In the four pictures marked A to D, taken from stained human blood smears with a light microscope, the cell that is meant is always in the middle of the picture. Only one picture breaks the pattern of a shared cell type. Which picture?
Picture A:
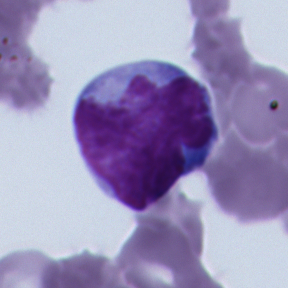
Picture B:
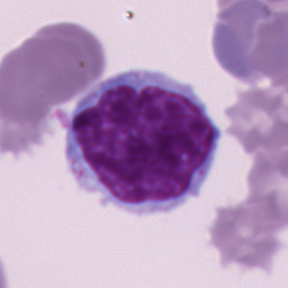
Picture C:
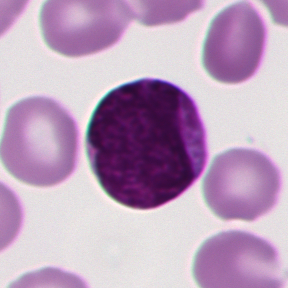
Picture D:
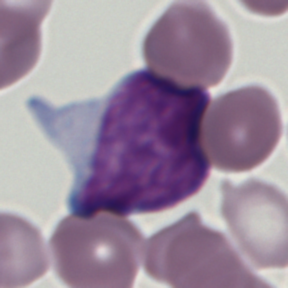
B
